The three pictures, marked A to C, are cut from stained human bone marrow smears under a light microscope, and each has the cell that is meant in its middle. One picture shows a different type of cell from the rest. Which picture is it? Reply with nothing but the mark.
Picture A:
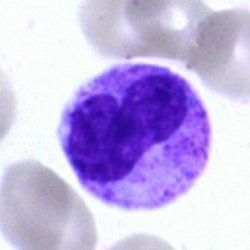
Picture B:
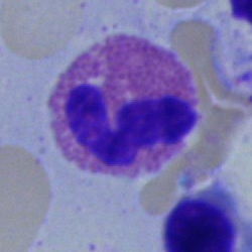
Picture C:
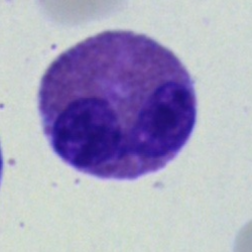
A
